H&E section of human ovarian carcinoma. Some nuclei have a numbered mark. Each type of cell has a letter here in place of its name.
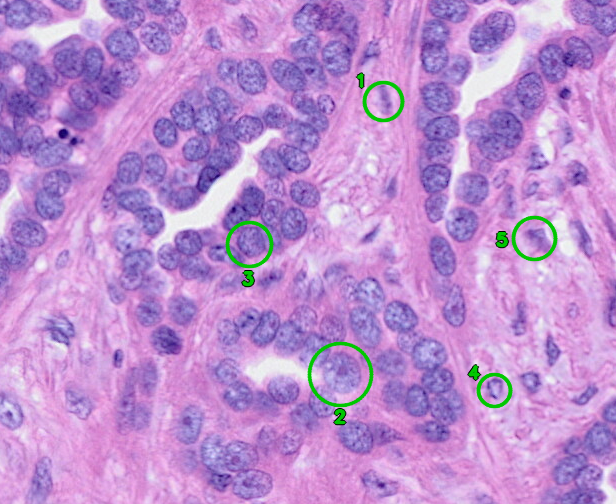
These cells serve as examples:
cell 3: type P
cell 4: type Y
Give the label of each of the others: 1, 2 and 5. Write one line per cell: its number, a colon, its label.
1: type Y
2: type P
5: type Y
